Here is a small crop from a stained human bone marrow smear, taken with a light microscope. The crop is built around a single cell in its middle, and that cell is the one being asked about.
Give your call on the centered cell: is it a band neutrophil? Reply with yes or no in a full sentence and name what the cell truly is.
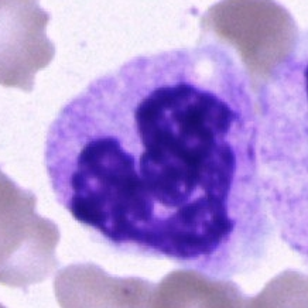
No, the cell sitting in the middle is a segmented neutrophil, and it is not a band neutrophil.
